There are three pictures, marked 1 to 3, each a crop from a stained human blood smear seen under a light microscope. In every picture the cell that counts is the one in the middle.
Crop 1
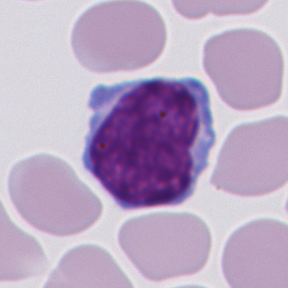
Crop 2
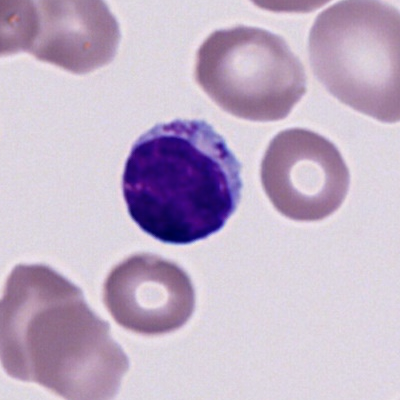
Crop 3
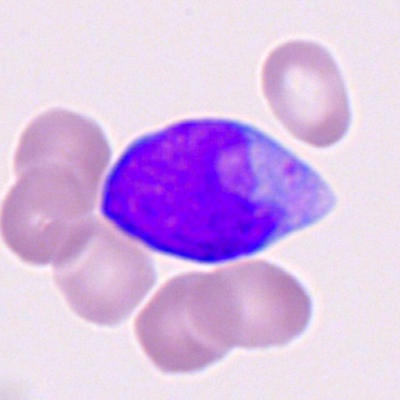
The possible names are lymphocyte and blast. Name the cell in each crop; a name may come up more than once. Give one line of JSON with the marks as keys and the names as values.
{"1": "lymphocyte", "2": "lymphocyte", "3": "blast"}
